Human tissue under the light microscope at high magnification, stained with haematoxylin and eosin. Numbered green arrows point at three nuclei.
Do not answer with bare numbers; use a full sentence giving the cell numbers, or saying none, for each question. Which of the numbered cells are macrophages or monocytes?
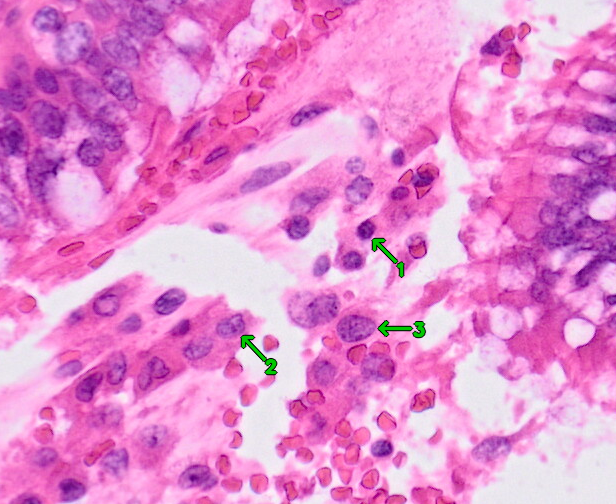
In short, the numbered cells 2 and 3 are macrophages or monocytes.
